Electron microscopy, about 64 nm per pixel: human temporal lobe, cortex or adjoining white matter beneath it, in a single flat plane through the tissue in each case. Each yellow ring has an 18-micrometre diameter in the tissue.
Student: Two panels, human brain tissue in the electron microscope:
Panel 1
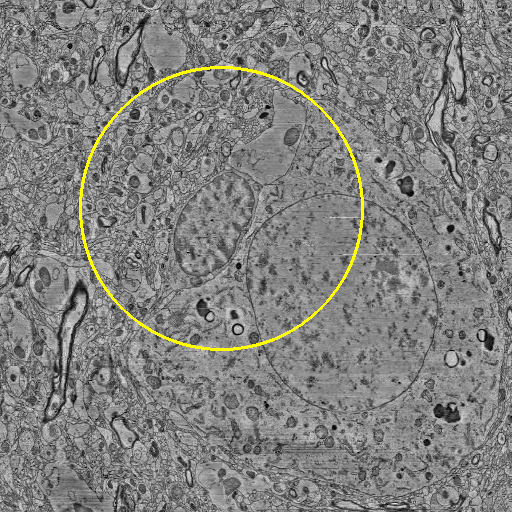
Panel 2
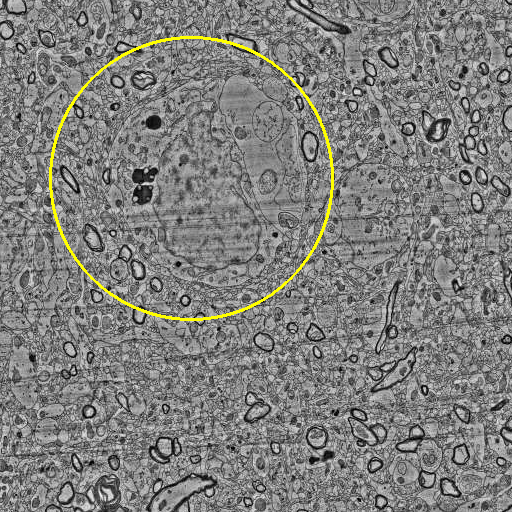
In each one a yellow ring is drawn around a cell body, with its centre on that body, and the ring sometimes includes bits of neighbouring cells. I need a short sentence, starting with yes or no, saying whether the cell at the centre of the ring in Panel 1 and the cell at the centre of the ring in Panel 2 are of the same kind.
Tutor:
No, they are two kinds of cell.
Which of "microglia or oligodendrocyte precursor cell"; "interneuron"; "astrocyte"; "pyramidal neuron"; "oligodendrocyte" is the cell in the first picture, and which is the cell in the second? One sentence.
The two differ: the first cell is an oligodendrocyte and the second is an interneuron.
